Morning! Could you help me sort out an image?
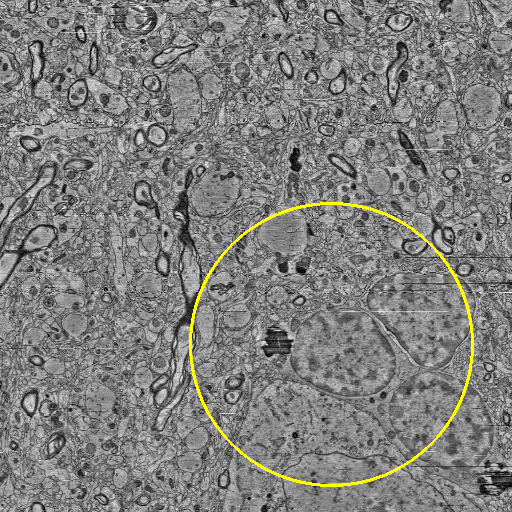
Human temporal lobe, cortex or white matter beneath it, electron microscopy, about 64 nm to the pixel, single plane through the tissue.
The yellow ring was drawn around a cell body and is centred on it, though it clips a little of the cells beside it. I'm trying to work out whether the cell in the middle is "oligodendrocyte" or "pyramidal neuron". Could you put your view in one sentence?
The ringed cell body is that of an oligodendrocyte.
